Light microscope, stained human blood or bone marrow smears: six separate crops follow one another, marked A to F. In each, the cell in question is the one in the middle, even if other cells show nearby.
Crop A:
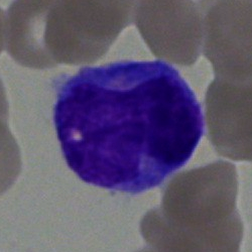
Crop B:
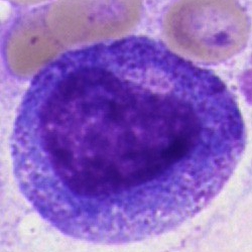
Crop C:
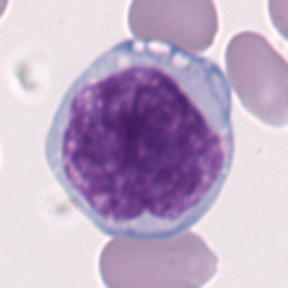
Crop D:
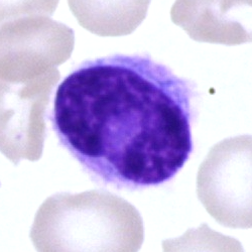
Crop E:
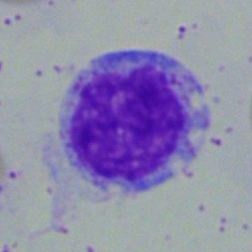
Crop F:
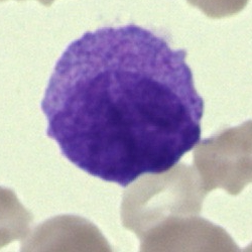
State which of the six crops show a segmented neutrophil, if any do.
none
